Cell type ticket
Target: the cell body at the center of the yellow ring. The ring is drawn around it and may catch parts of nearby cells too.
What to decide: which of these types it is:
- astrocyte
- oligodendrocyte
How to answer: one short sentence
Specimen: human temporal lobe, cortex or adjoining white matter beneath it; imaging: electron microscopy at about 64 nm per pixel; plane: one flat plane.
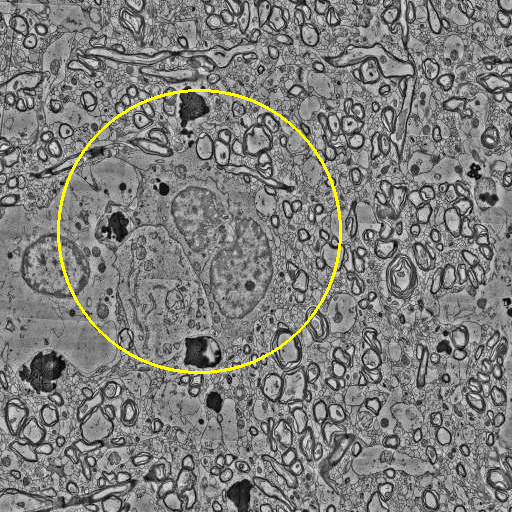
The cell at the center of the ring is an oligodendrocyte.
